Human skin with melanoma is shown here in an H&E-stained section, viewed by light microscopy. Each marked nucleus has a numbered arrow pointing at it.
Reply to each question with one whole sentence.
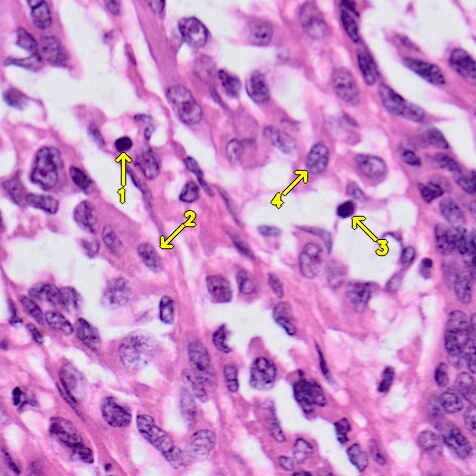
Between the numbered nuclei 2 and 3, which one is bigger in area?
Nucleus 2 is the larger one, covering about 1.5 times the area of nucleus 3.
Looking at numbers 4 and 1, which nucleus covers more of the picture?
Nucleus 4 is larger, with an area about 2.5 times that of nucleus 1.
